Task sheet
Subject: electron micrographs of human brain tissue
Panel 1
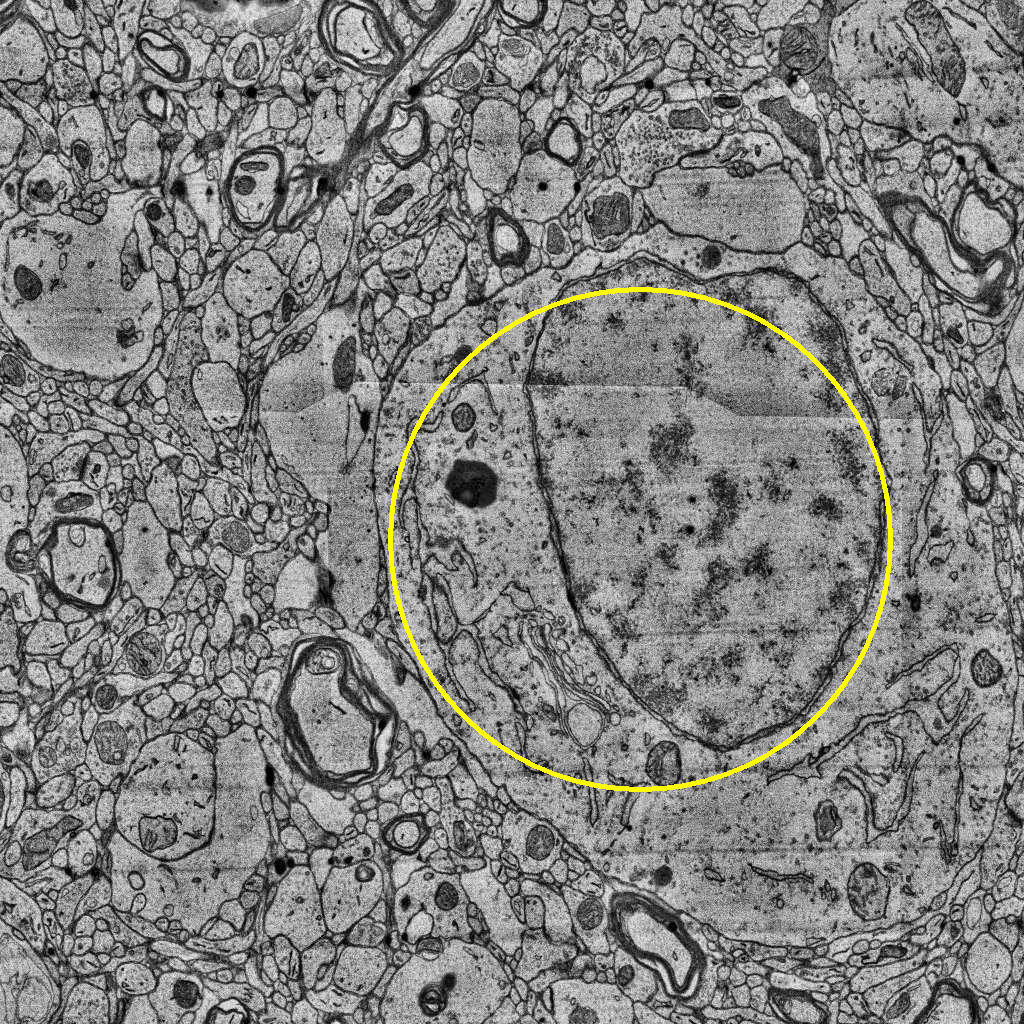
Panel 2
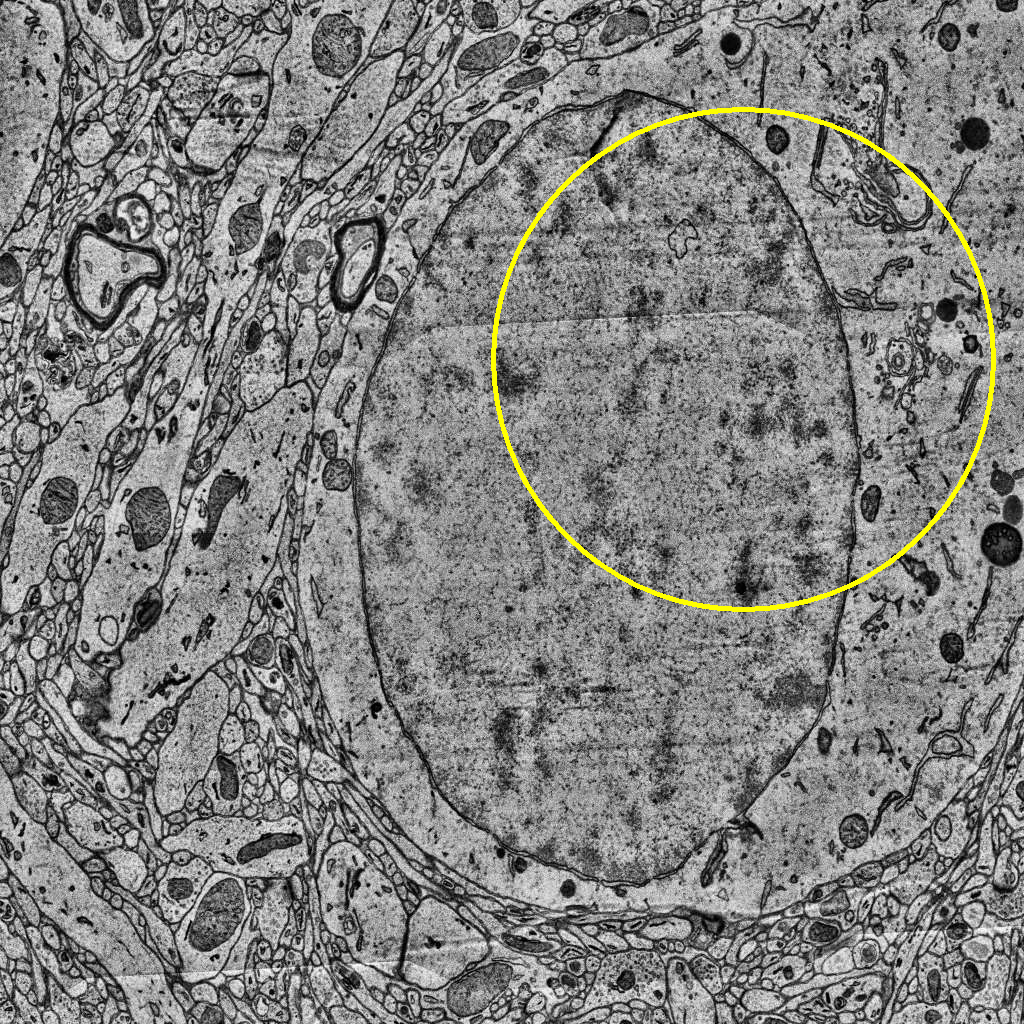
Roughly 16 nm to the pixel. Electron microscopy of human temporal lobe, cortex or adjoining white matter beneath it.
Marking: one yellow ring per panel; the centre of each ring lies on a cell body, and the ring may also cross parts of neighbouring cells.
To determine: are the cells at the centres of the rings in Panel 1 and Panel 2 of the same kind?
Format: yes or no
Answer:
yes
